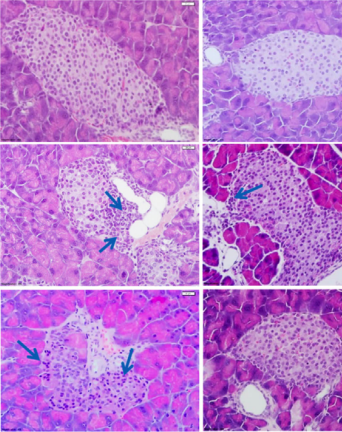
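Pancreatic islets within exocrine pancreas, stained pink and purple. In several islets, small cells with dark, compact round nuclei gather at the islet edge and near adjacent vessels and ducts, standing out from the paler, larger islet nuclei. Some islets appear irregular in outline, while others are smooth and compact with no such dense cell clusters. Clear open spaces mark vessels or ducts beside some islets.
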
